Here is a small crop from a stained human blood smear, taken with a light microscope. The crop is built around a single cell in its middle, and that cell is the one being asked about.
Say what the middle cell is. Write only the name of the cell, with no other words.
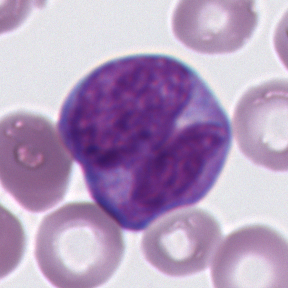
atypical promyelocyte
